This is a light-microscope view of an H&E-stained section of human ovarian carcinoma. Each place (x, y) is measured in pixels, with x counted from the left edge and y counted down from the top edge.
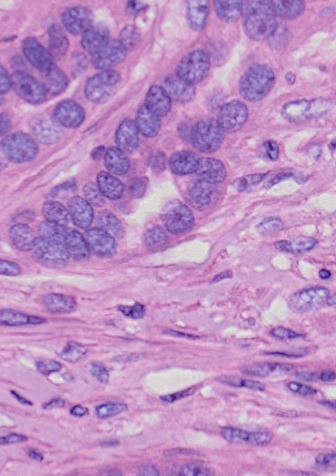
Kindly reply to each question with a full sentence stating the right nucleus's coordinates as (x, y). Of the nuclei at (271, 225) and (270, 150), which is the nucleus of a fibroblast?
Of the two options, the nucleus at (271, 225) is the one that belongs to a fibroblast.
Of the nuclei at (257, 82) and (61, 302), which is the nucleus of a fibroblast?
The nucleus at (61, 302) is housed in a fibroblast.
